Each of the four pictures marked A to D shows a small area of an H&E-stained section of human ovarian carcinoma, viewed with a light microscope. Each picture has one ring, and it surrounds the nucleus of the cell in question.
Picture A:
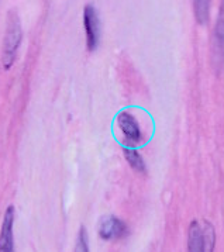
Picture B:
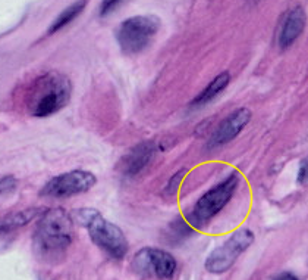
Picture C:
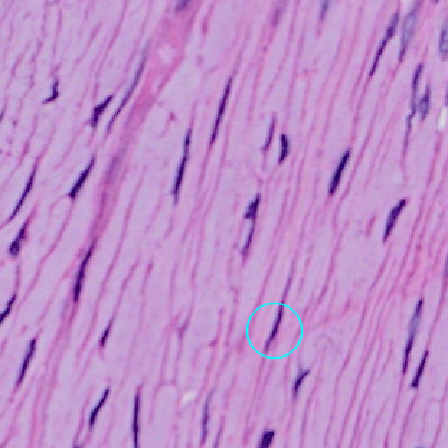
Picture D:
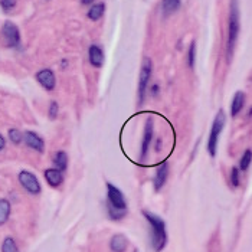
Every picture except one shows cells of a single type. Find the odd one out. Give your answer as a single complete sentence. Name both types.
Picture C is the odd one out: it shows a fibroblast, while the others show smooth muscle cells.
